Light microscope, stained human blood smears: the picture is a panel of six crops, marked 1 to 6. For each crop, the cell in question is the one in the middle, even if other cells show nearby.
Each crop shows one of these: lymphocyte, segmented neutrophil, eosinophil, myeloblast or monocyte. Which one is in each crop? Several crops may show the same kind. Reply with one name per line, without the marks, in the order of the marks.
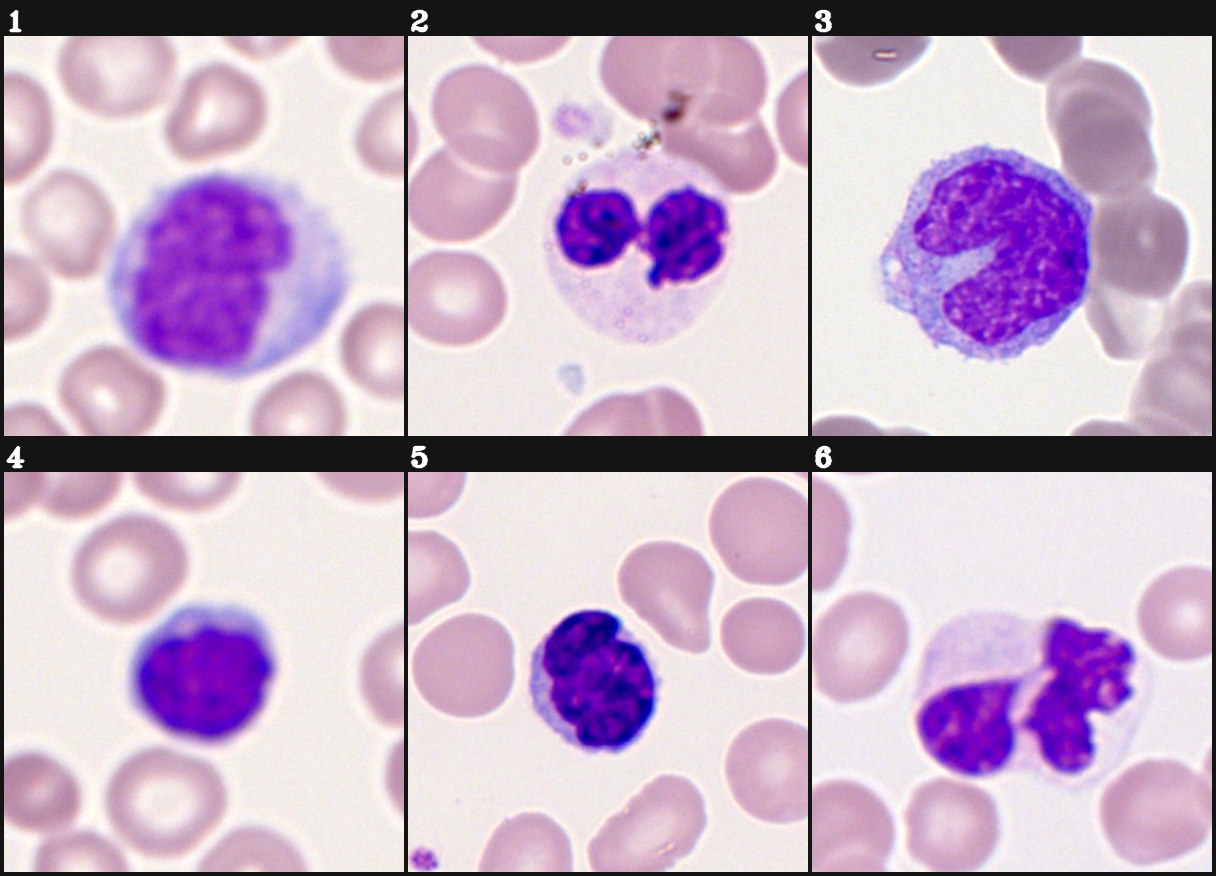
monocyte
segmented neutrophil
monocyte
lymphocyte
lymphocyte
segmented neutrophil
